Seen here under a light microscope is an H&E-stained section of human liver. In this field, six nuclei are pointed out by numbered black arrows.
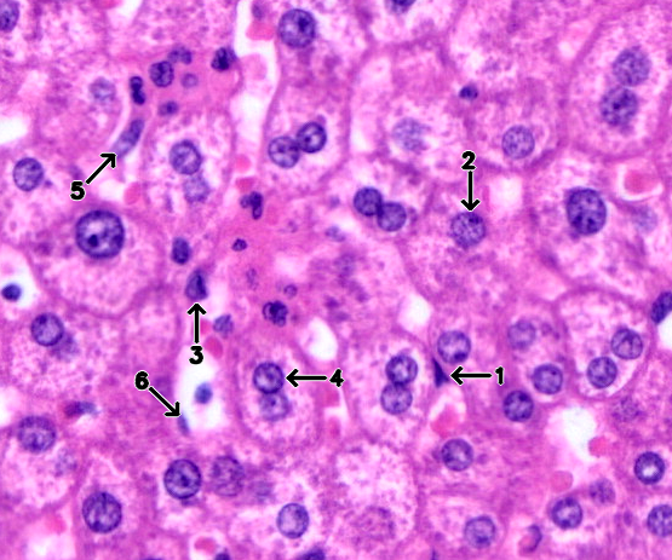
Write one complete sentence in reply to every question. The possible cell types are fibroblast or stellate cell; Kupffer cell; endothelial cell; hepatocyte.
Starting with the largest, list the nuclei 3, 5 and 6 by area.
Going from the biggest nucleus down to the smallest gives 5, 3, 6.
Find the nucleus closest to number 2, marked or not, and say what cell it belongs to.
The nucleus nearest to number 2 is that of a hepatocyte.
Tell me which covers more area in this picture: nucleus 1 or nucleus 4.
Number 4 is larger; its area is about 3 times that of number 1.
